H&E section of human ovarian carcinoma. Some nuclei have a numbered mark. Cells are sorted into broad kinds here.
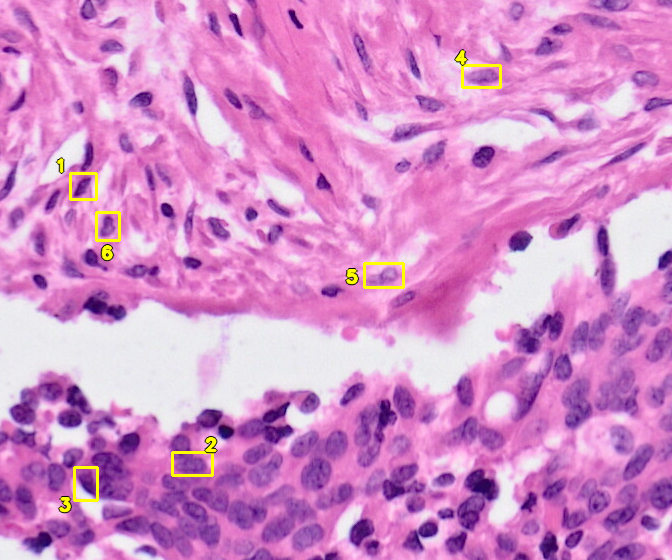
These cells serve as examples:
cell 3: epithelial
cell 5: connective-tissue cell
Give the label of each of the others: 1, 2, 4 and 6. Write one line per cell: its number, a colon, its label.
1: connective-tissue cell
2: epithelial
4: connective-tissue cell
6: connective-tissue cell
